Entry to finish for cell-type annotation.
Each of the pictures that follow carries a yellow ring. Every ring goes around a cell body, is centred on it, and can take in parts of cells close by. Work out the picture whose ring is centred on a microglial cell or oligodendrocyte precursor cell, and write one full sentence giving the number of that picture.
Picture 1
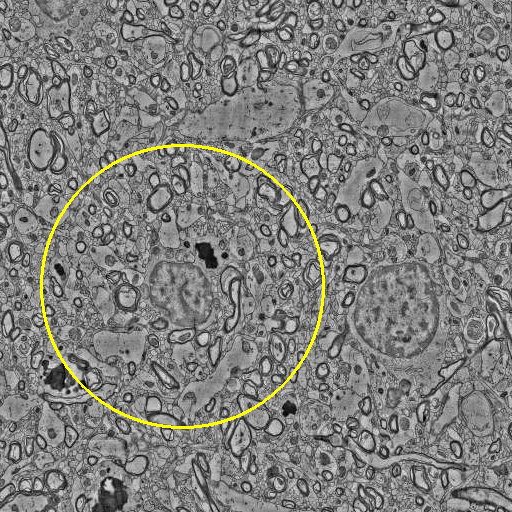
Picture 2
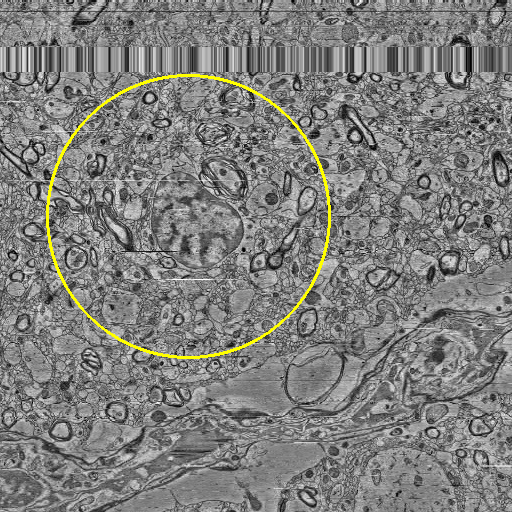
The cell at the heart of the ring in picture 2 matches the request.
